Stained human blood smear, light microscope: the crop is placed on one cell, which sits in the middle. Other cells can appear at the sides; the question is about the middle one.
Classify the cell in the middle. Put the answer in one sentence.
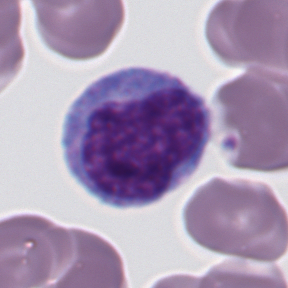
The central cell shown in this smear crop is a monocyte.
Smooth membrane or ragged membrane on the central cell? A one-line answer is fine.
The outline traces a smooth curve with no projections along it.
